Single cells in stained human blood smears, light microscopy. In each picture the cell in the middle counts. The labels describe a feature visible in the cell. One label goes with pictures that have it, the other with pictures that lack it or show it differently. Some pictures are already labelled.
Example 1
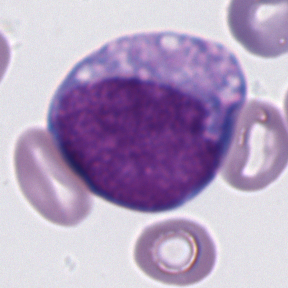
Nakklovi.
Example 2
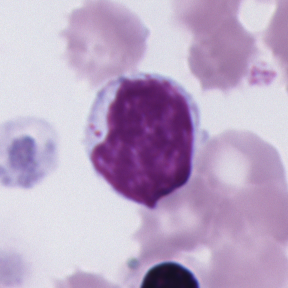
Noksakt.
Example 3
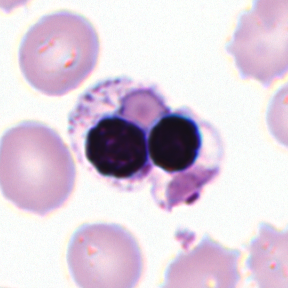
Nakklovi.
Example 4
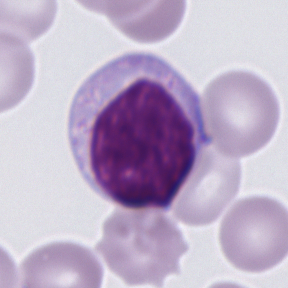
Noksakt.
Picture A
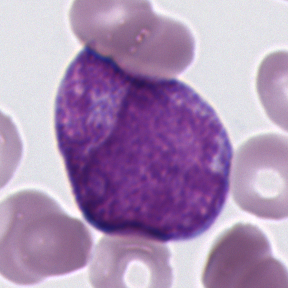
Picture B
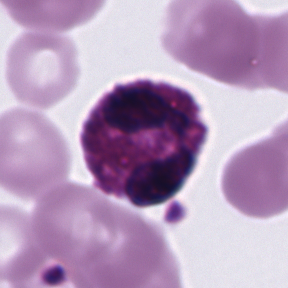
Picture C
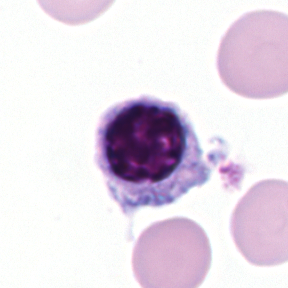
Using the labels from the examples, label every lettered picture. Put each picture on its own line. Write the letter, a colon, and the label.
A: Noksakt.
B: Noksakt.
C: Nakklovi.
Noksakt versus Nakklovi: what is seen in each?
Noksakt, no vacuoles; Nakklovi, vacuoles present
